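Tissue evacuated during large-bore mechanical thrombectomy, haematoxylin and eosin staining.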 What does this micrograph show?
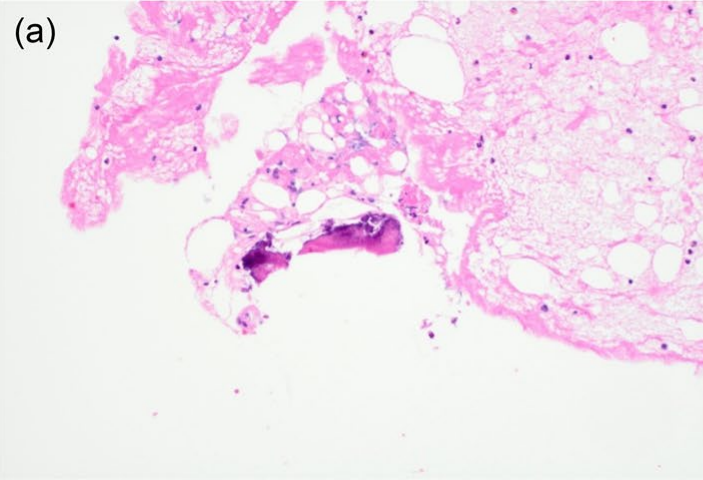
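Loose fragments of tissue containing what may be fat cells appear as numerous round, empty, clear vacuoles of varying size separated by thin pink septa. Small dark nuclei are scattered sparsely at the vacuole edges and in the surrounding pale pink, finely fibrillar material. Near the lower centre lies an elongated, dense, dark purple to magenta acellular deposit consistent with calcified fibrin. Much of the field around the fragments is empty.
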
